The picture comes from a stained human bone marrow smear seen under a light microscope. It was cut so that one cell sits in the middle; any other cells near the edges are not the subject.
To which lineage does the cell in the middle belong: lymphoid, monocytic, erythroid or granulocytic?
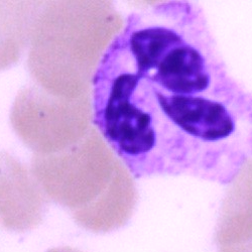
granulocytic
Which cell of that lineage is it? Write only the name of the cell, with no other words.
segmented neutrophil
